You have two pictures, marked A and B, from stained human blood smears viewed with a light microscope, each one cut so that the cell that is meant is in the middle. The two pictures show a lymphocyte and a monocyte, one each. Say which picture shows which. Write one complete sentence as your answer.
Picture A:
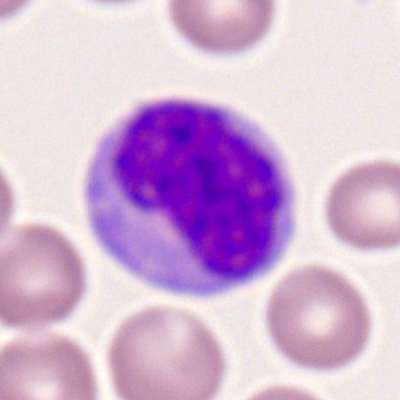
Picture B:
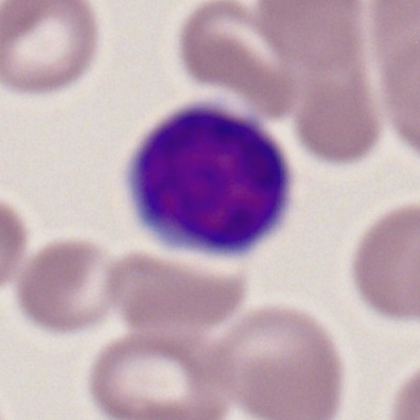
In picture A the cell is a monocyte; in picture B, a lymphocyte.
